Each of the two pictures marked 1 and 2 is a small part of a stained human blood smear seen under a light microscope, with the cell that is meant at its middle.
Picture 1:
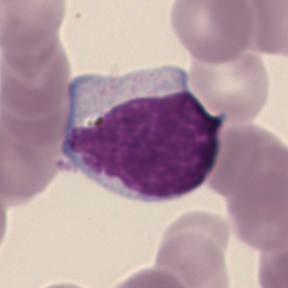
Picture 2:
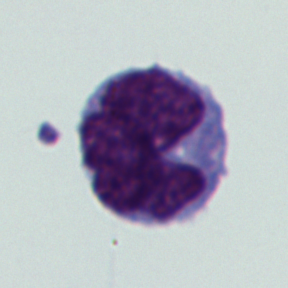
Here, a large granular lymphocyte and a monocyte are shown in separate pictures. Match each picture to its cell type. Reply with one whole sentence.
It is picture 1 that shows a large granular lymphocyte, and picture 2 that shows a monocyte.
